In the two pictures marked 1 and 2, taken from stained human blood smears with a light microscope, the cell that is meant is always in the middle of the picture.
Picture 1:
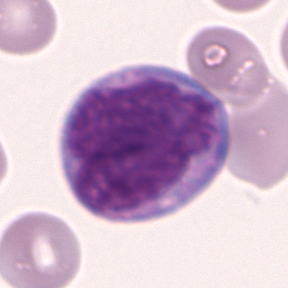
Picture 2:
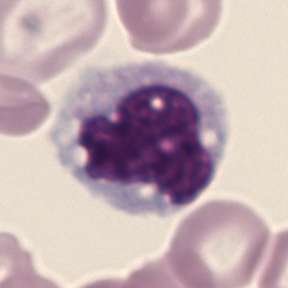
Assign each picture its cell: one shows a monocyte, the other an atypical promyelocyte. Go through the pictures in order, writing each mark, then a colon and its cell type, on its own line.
1: atypical promyelocyte
2: monocyte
